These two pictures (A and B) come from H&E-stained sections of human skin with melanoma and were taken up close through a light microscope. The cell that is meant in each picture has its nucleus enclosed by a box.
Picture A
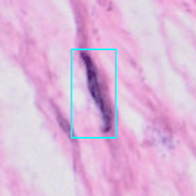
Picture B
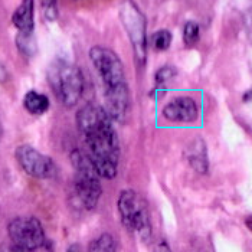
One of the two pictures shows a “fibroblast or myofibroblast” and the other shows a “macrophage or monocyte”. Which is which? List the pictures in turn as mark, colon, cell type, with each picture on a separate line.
A: fibroblast or myofibroblast
B: macrophage or monocyte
